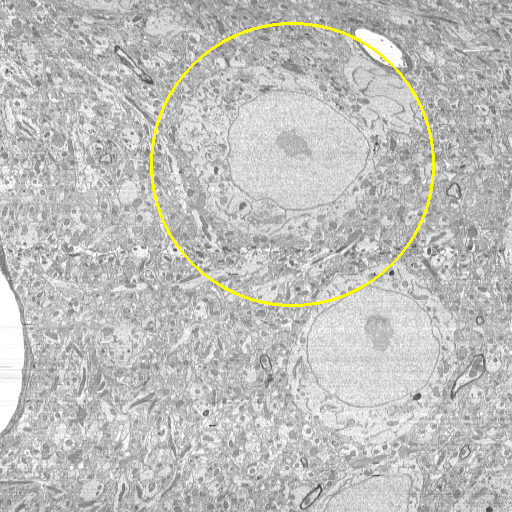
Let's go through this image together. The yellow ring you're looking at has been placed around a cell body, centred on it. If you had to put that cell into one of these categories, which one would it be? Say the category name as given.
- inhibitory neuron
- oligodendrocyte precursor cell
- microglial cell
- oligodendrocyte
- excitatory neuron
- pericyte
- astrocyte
excitatory neuron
